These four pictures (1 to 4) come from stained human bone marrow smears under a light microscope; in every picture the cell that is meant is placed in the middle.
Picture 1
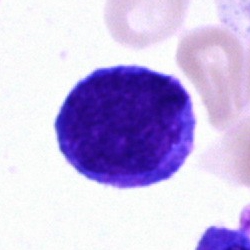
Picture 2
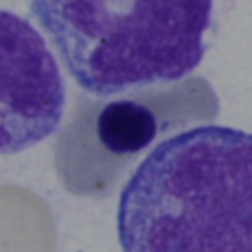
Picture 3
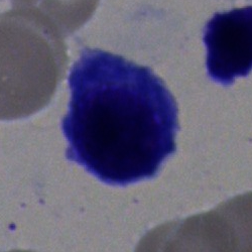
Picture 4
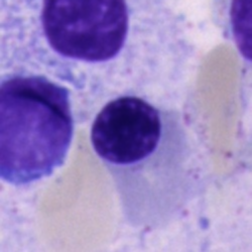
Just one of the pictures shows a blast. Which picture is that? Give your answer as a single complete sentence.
It is picture 1 that shows the blast.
